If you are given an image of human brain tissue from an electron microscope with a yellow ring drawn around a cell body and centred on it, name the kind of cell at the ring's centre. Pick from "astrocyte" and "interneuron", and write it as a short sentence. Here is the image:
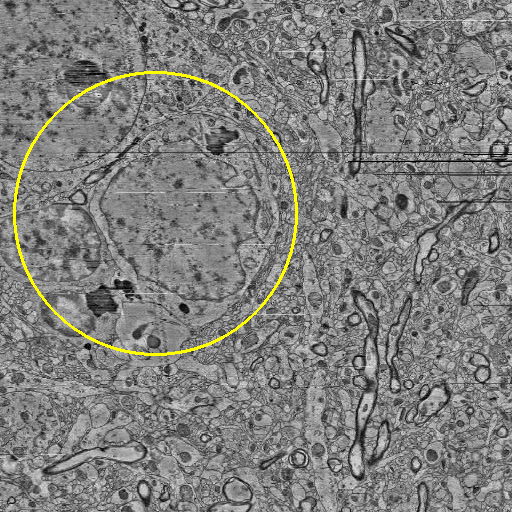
The cell at the ring's centre is an interneuron.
